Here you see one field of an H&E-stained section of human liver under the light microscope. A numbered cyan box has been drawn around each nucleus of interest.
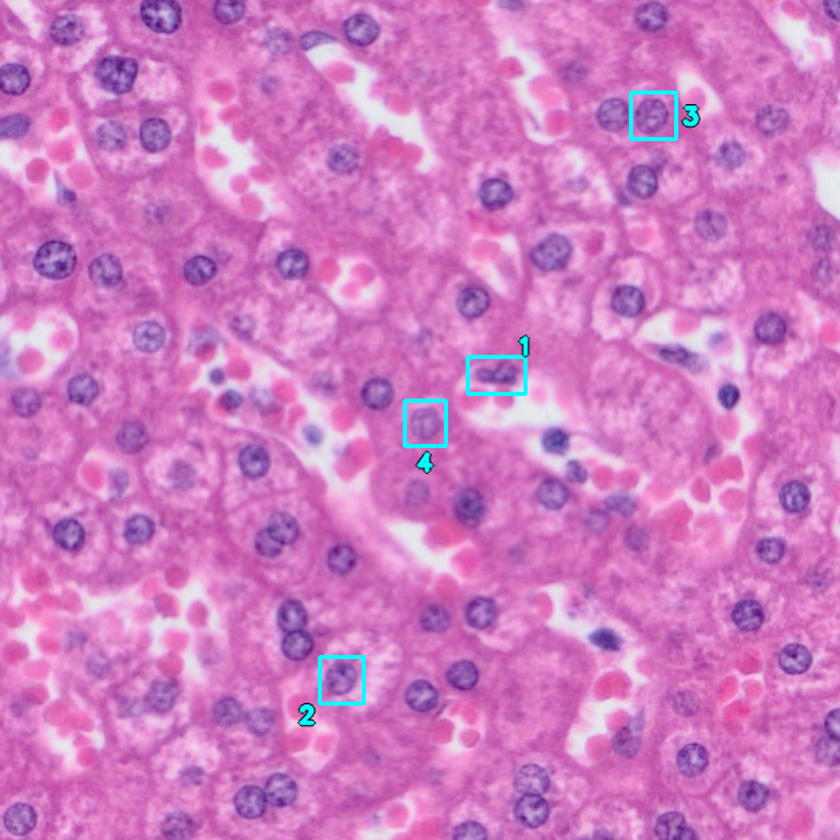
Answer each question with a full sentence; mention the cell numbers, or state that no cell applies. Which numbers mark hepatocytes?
The numbers 2, 3 and 4 mark cells that are hepatocytes.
